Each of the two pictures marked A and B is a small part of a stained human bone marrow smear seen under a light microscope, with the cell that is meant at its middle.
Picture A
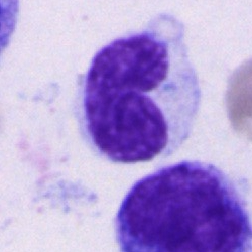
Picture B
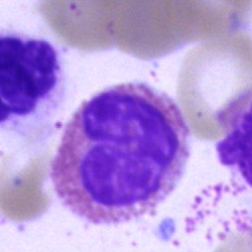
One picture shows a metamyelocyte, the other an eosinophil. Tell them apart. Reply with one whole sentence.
In picture A the cell is a metamyelocyte; in picture B, an eosinophil.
